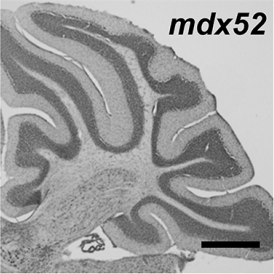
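A sagittal section through the cerebellum, shown at low magnification. The cortex is folded into many narrow lobules arranged like branching leaves. Each lobule shows a dark, densely stained inner band of tightly packed small cells and a pale, sparsely cellular outer band lying toward the surface. Pale, branching cores run from a central region into each lobule, forming a tree-like pattern. Narrow clefts separate neighbouring folds, some left open as pale slits. At the lower left, the folded cortex meets more uniformly stained tissue, and a small cavity containing a convoluted strand lies near the base.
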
